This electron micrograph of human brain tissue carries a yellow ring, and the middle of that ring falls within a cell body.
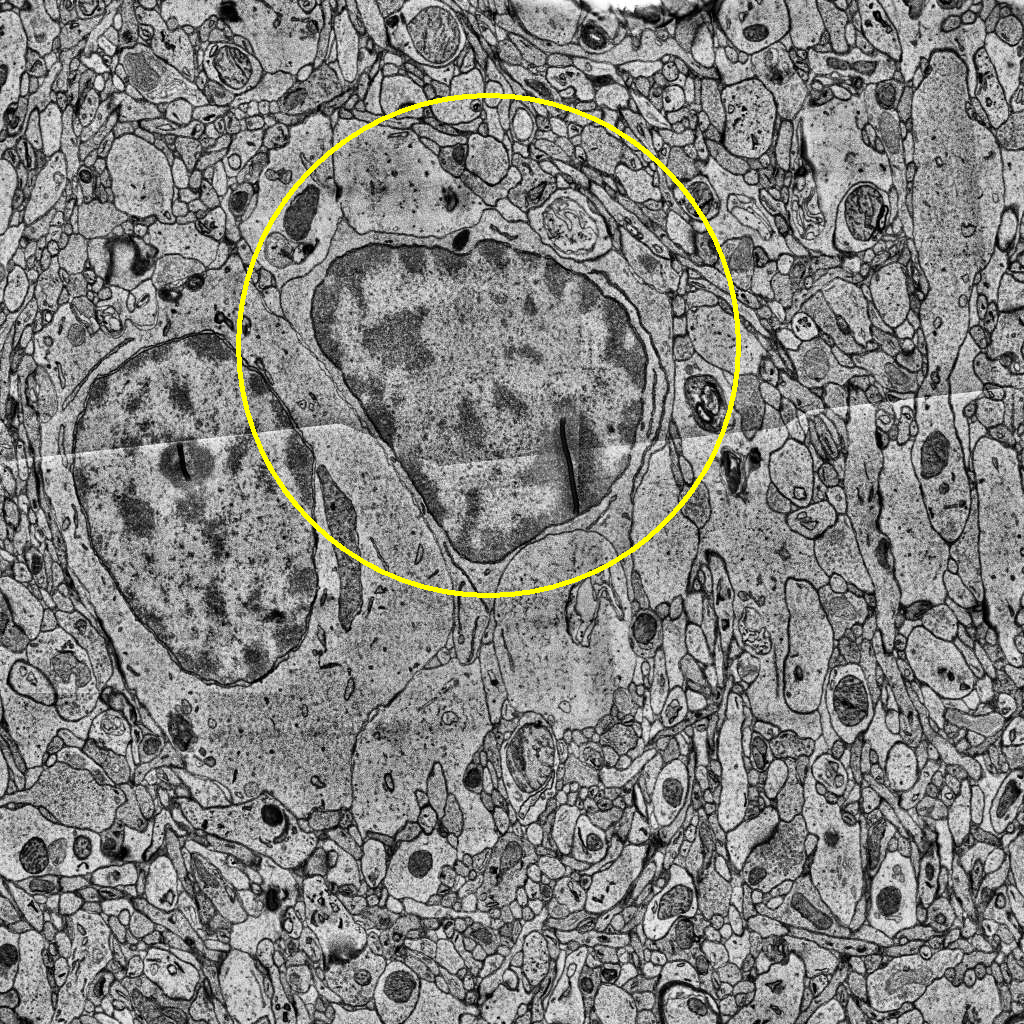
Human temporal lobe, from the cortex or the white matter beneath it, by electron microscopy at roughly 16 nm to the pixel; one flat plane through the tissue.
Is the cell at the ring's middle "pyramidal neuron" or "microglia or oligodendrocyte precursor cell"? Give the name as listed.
microglia or oligodendrocyte precursor cell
